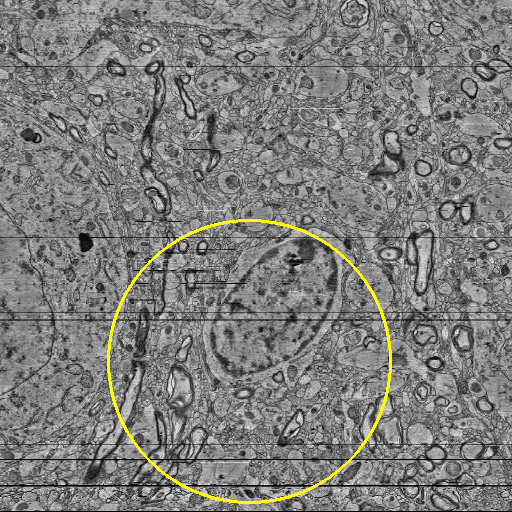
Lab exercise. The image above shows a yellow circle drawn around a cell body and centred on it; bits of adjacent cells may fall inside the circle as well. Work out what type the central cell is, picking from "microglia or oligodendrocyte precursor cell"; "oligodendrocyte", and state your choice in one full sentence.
In the image above, the cell at the centre of the yellow circle is a microglial cell or oligodendrocyte precursor cell.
